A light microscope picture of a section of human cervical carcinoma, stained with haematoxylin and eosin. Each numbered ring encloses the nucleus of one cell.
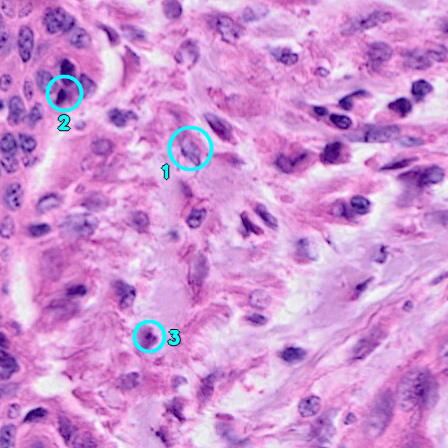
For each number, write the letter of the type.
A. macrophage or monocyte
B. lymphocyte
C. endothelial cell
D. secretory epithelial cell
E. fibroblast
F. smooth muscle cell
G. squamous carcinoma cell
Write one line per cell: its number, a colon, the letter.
1: E
2: G
3: E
